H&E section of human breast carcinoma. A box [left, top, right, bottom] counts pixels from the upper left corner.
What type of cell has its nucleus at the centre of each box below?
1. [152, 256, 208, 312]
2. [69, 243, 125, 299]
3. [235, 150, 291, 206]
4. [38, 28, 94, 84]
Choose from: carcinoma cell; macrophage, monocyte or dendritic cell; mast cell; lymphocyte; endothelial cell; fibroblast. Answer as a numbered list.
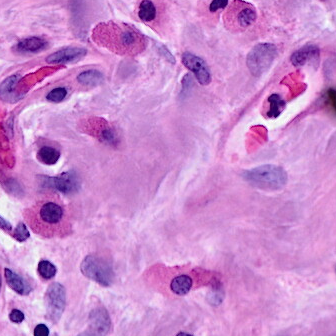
1. mast cell
2. fibroblast
3. fibroblast
4. endothelial cell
